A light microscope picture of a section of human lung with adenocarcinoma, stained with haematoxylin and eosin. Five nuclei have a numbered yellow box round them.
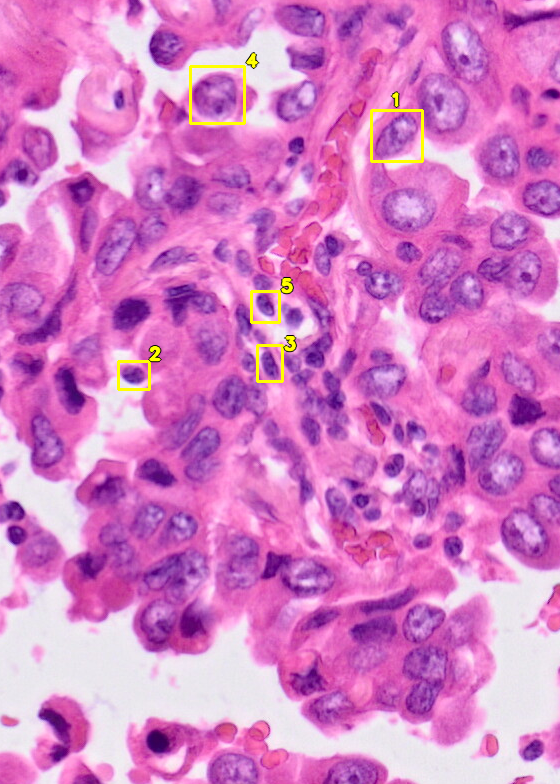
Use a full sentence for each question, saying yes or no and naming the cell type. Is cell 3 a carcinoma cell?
No, number 3 marks a lymphocyte rather than a carcinoma cell.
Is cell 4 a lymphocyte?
No, instead of a lymphocyte, the cell with number 4 is a carcinoma cell.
